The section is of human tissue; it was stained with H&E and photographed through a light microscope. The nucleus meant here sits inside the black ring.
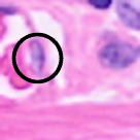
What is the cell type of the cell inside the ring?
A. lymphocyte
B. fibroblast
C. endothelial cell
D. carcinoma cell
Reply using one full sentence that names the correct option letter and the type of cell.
Option C properly identifies the cell inside the ring as an endothelial cell.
